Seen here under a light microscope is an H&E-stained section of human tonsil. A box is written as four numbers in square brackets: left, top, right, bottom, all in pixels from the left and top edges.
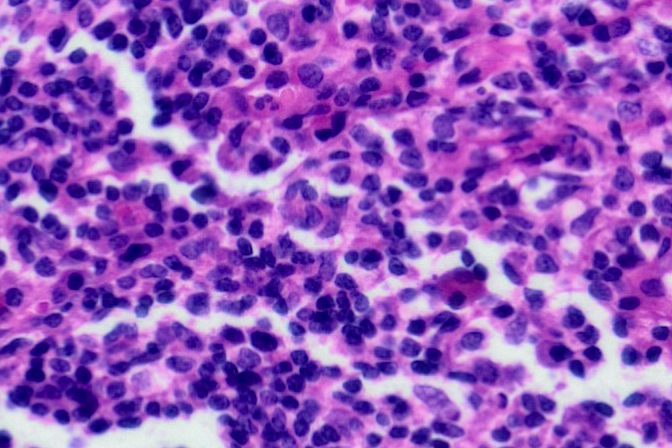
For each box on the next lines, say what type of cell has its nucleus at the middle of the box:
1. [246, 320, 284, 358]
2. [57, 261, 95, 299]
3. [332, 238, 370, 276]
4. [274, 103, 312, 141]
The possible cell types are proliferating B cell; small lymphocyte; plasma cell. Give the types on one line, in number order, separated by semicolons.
proliferating B cell; plasma cell; small lymphocyte; plasma cell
